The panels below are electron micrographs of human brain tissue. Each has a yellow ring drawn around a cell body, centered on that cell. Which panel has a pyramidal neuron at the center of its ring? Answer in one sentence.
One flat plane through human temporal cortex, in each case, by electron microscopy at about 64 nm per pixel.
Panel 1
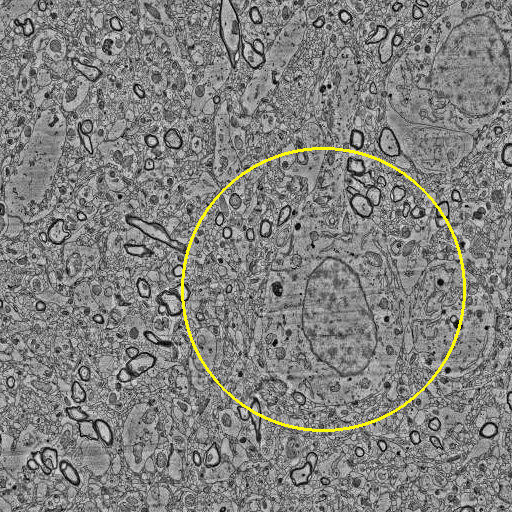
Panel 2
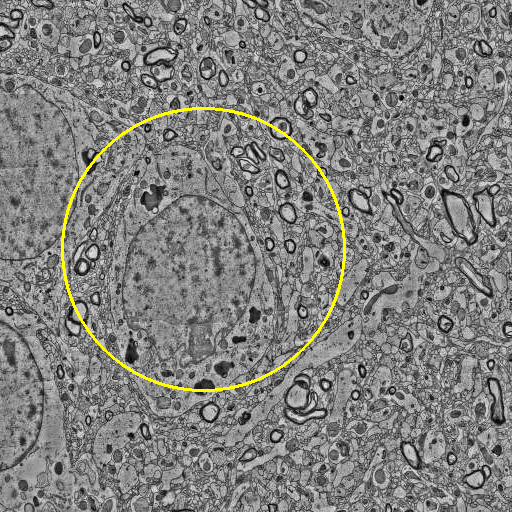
Panel 1 has it at the center of its ring.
